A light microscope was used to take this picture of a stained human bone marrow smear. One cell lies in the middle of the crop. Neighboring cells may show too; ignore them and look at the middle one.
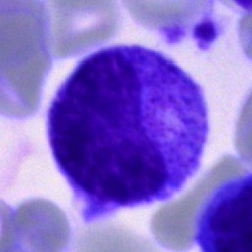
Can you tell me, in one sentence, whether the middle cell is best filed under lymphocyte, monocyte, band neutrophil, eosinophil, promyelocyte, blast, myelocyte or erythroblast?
For this crop, the cell in the middle is a promyelocyte.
